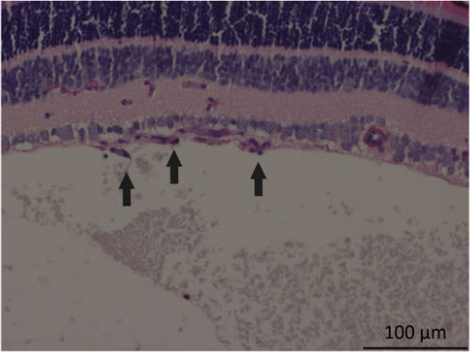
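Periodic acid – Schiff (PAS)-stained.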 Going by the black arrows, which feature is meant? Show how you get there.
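Neovascular tufts. The arrows point to small pink-purple cell clusters with nuclei. The clusters lie on the inner retinal surface facing the vitreous.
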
